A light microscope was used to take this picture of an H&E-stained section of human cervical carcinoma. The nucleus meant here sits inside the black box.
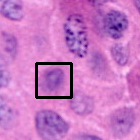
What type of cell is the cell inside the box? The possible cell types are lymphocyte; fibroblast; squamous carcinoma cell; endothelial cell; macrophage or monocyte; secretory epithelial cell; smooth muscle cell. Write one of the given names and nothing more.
squamous carcinoma cell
